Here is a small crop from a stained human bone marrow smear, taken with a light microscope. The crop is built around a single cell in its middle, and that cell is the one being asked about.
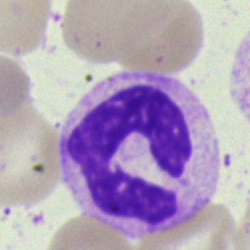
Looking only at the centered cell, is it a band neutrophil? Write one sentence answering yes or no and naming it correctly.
Yes, the cell that is in the middle is a band neutrophil.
